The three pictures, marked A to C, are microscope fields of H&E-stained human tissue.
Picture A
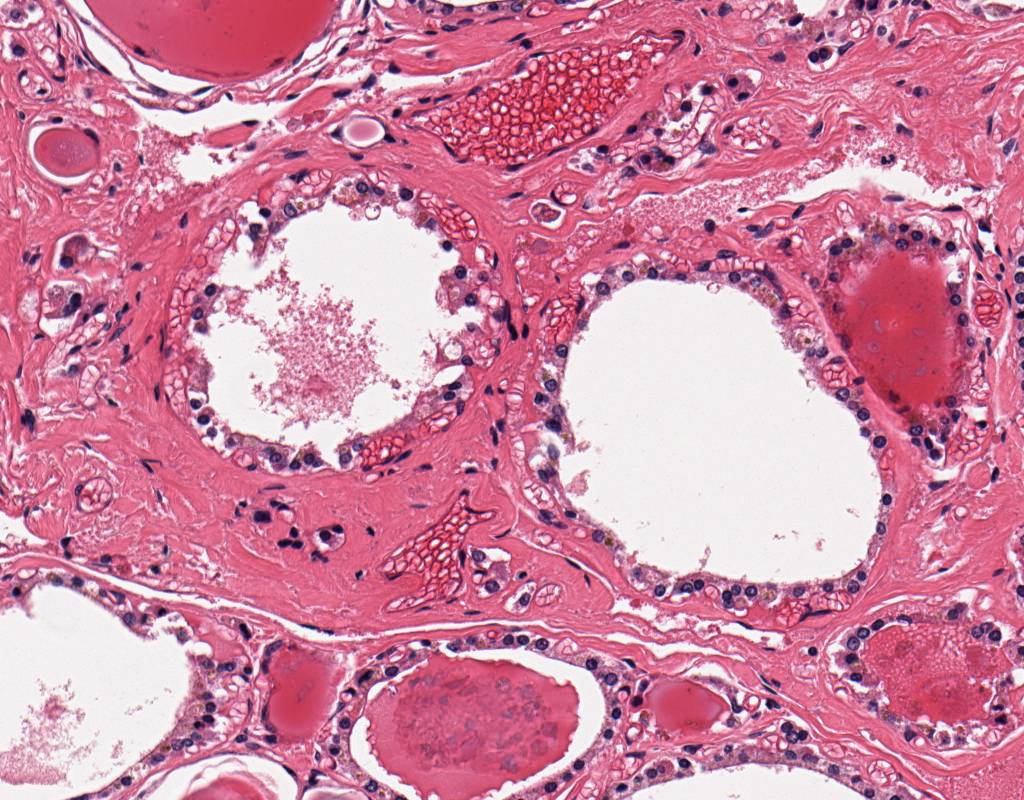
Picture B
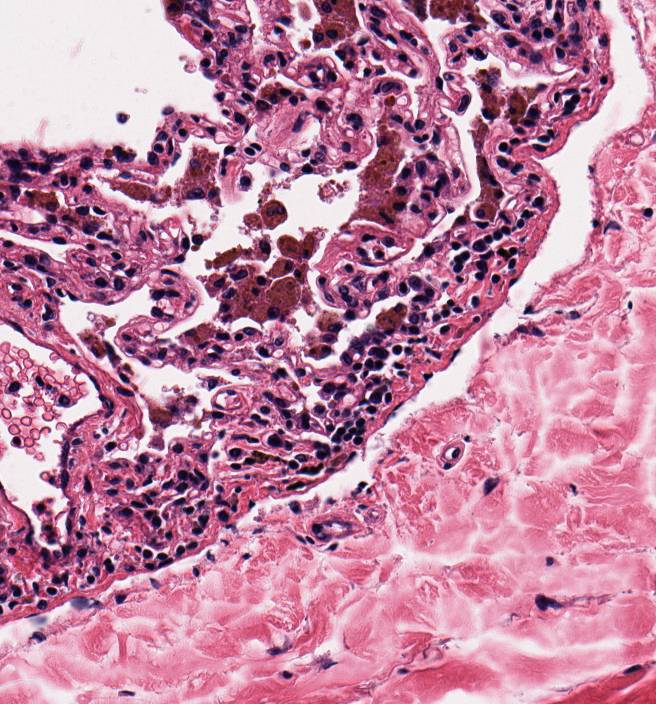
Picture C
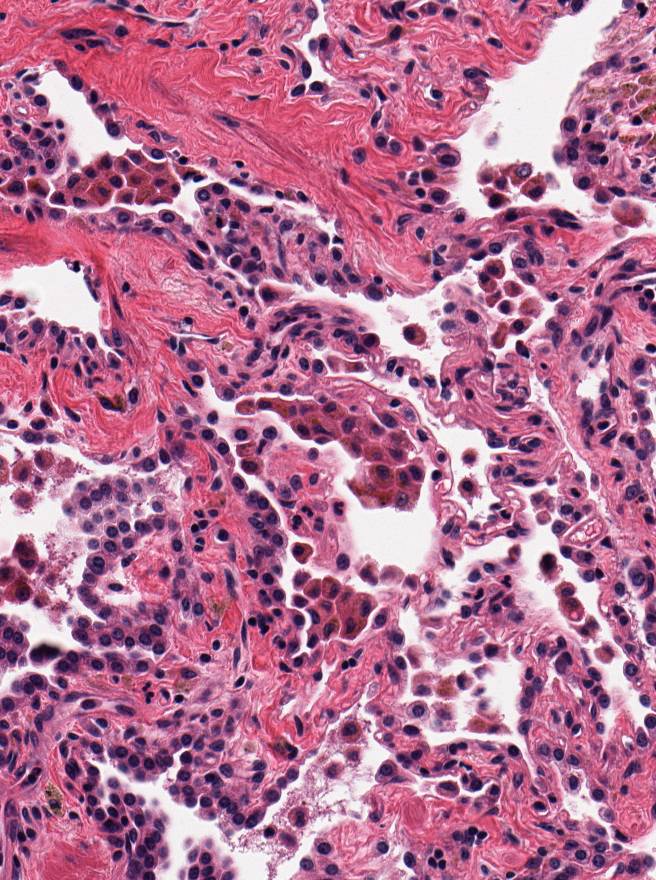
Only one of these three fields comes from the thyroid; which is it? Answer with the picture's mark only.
A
